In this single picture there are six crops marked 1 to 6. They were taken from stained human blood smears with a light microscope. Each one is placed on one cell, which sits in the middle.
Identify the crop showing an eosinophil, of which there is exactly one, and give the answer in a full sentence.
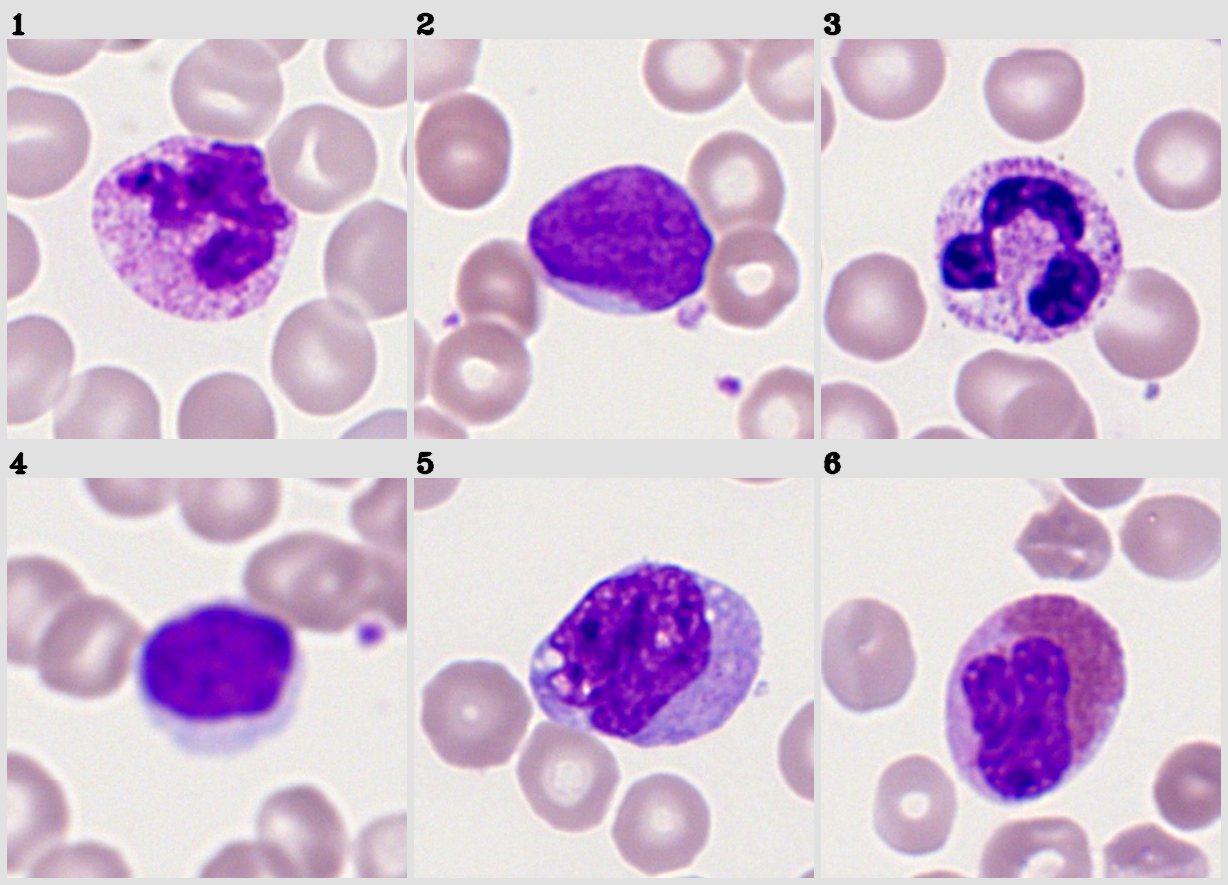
The crop marked 6 is the one that shows an eosinophil.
